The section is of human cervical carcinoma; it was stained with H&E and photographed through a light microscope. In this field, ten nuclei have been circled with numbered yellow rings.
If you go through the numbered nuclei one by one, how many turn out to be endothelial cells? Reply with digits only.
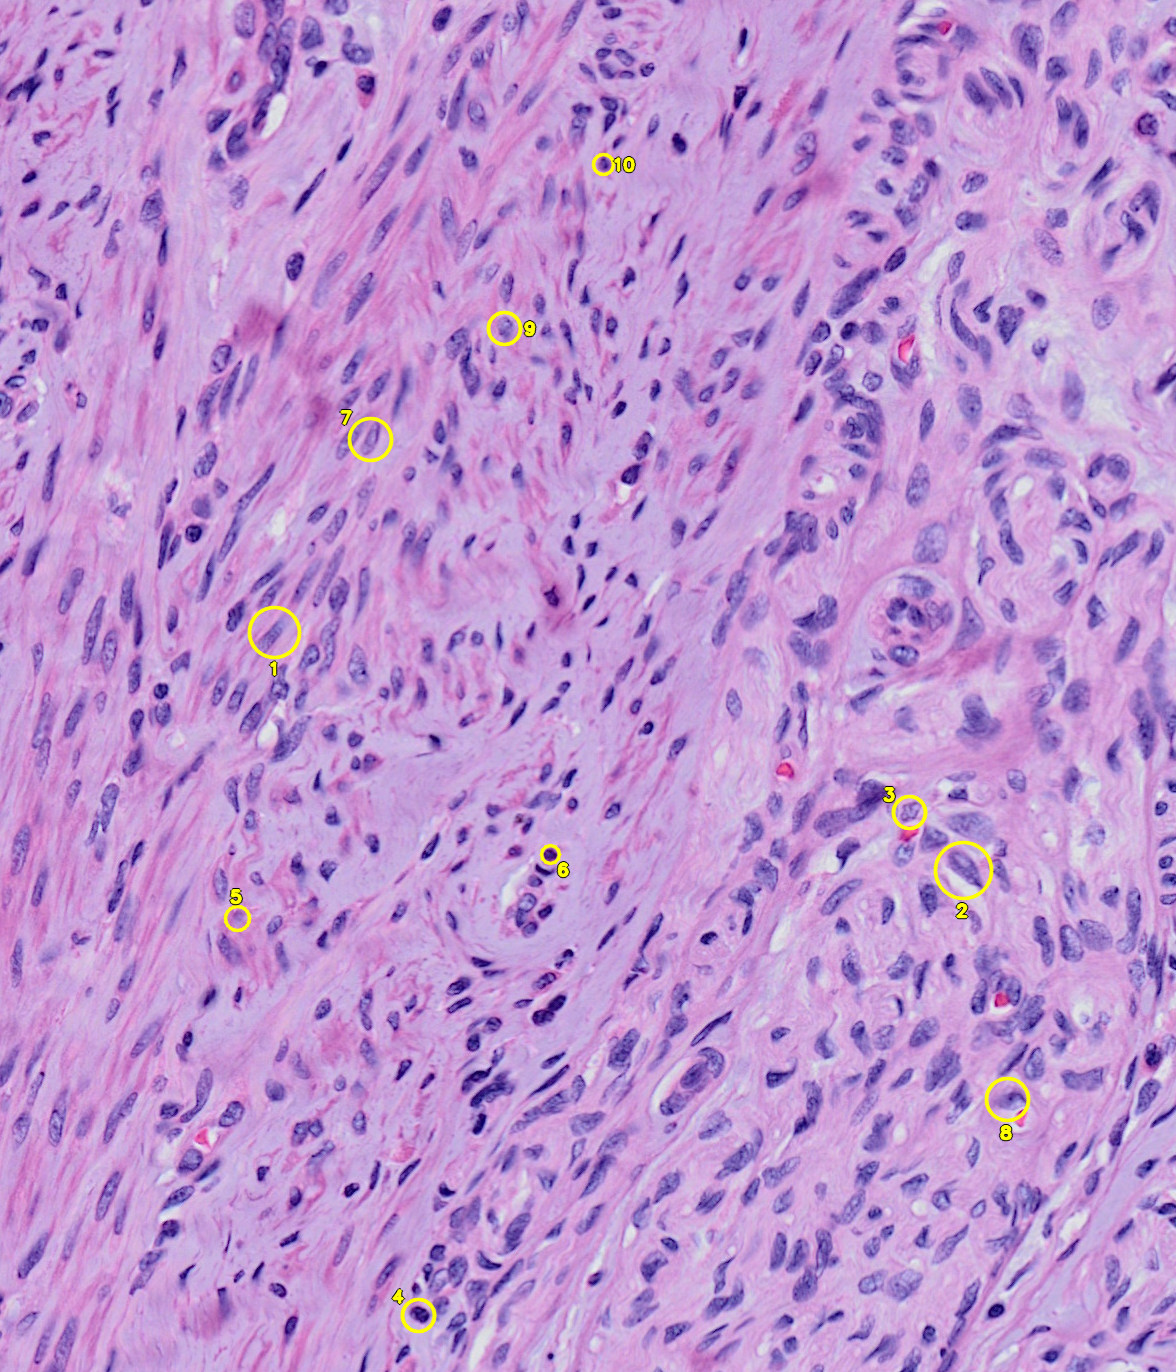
3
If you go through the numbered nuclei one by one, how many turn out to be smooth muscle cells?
6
